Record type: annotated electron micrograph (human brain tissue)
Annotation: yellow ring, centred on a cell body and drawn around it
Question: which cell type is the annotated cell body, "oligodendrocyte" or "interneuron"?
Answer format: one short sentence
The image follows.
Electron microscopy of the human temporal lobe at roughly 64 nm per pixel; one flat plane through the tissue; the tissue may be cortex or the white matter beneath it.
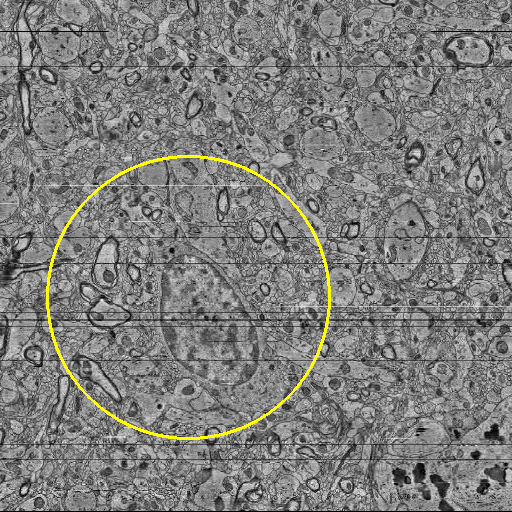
The annotated cell body is that of an oligodendrocyte.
